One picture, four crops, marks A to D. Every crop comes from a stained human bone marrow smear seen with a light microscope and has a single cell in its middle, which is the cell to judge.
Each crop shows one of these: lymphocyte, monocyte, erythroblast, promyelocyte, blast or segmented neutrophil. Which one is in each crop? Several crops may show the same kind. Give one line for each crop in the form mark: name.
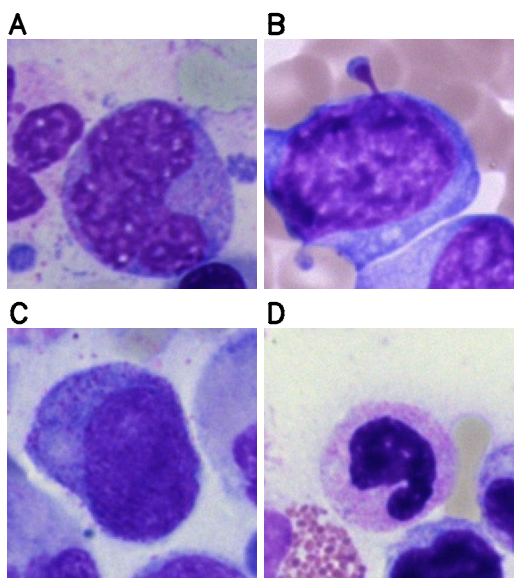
A: monocyte
B: blast
C: promyelocyte
D: segmented neutrophil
